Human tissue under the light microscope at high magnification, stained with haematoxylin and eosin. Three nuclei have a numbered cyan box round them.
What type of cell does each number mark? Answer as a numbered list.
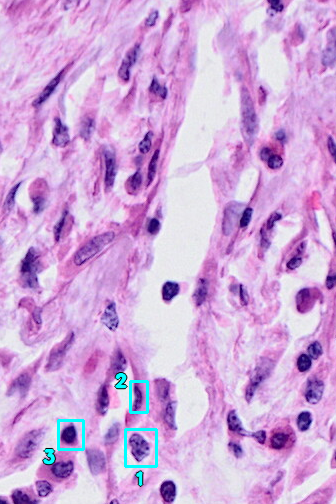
1. lymphocyte
2. endothelial cell
3. lymphocyte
